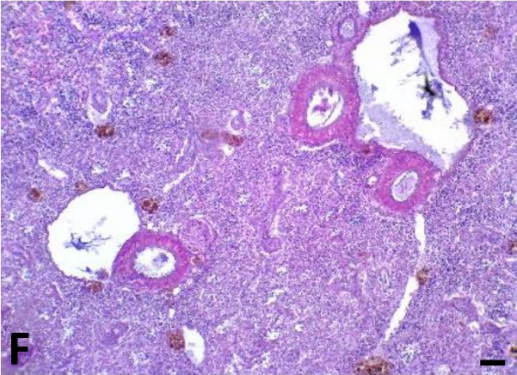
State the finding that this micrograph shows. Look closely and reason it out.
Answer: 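Several vessels have thick bright pink ring-shaped walls. The walls are wide compared with their lumens.
Thickened blood vessel walls.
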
